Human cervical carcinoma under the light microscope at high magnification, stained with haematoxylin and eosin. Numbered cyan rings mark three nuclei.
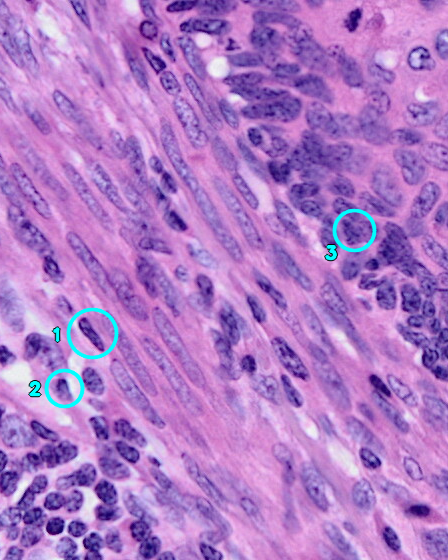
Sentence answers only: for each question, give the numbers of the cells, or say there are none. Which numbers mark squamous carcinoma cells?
Cell 3 is the only one of the numbered cells that is a squamous carcinoma cell.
